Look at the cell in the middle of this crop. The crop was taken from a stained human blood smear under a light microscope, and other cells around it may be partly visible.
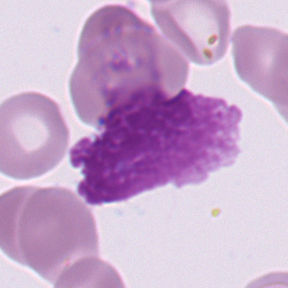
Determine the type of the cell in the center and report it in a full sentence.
The central cell, amid any neighbouring cells, is a smudge cell.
